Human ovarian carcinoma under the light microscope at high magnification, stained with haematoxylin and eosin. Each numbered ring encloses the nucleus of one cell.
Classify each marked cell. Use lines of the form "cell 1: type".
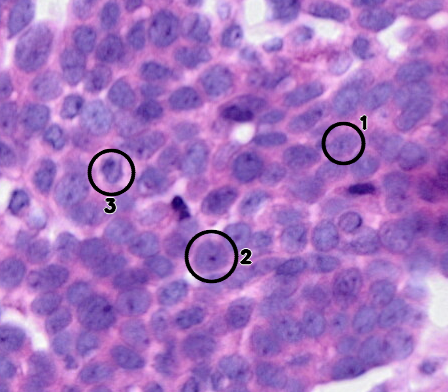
cell 1: carcinoma cell
cell 2: carcinoma cell
cell 3: macrophage or monocyte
